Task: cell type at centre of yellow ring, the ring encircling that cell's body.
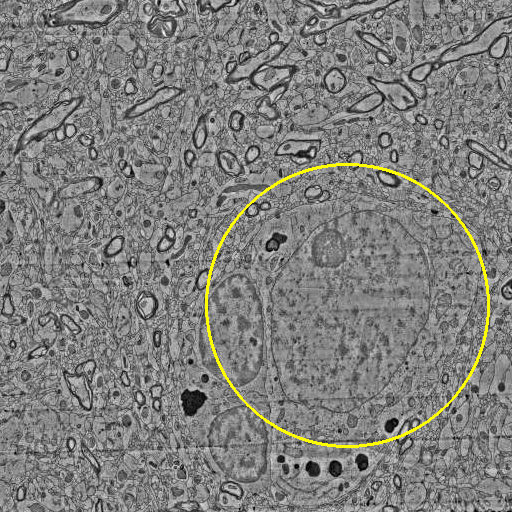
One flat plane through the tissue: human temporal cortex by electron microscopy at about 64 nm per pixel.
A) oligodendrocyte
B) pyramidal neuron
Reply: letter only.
B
